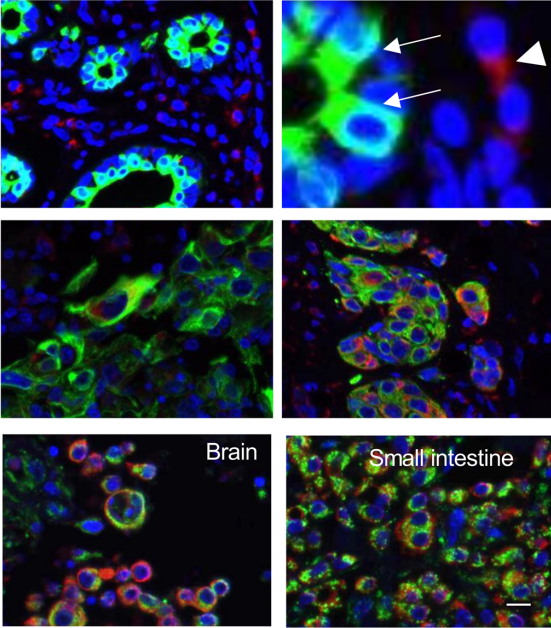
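In the normal tissue the epithelial cells form small round acini, each a single ring of green-filled cells around a dark central lumen, while scattered cells between the acini carry a little red. In the carcinoma the green cells no longer form rings but lie in irregular sheets and nests, and some cells show red along their edges alongside green. In the metastases the tumour cells are rounded, loosely clustered or separate, with a large blue nucleus and a rim of cytoplasm that is often red or mixed red and green. Many of these metastatic cells show red and green together around the same nucleus.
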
